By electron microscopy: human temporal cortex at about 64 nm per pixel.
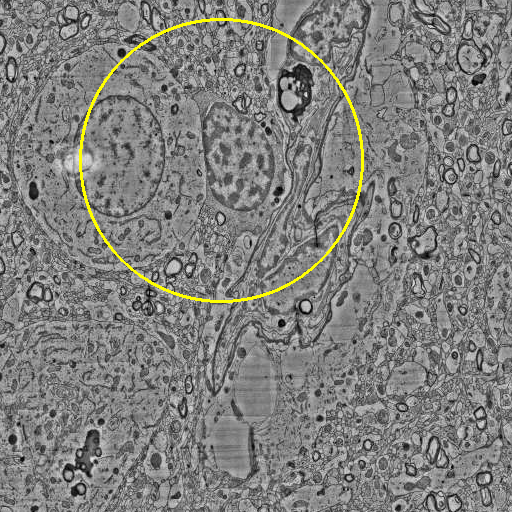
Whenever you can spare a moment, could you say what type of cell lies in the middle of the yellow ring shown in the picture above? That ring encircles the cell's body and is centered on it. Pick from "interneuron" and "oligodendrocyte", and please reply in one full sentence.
The cell whose body sits at the middle of the yellow ring is an oligodendrocyte.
